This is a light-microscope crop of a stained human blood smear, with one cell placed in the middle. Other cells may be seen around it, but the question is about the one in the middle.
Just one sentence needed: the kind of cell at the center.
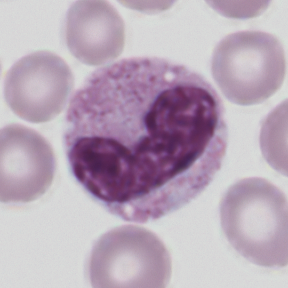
Classified as a band neutrophil is the cell in the middle of this crop.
